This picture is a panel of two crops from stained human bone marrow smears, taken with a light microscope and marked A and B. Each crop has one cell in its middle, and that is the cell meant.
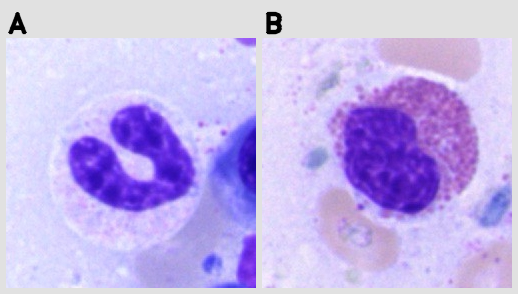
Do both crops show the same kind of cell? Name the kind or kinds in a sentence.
No, whereas crop A shows a band neutrophil, crop B shows an eosinophil.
